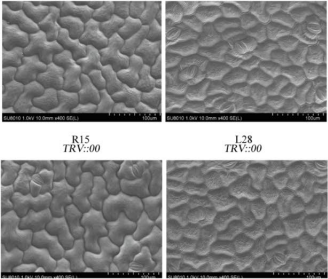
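The cells fit tightly against one another with no spaces between them, and their walls run in wavy, lobed lines so that neighbouring cells interlock like jigsaw pieces. In some of the images the cells are larger and their outer walls bulge smoothly, giving a puffy, rounded surface. No nuclei or inner contents can be seen, since only the outer cell walls are imaged.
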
